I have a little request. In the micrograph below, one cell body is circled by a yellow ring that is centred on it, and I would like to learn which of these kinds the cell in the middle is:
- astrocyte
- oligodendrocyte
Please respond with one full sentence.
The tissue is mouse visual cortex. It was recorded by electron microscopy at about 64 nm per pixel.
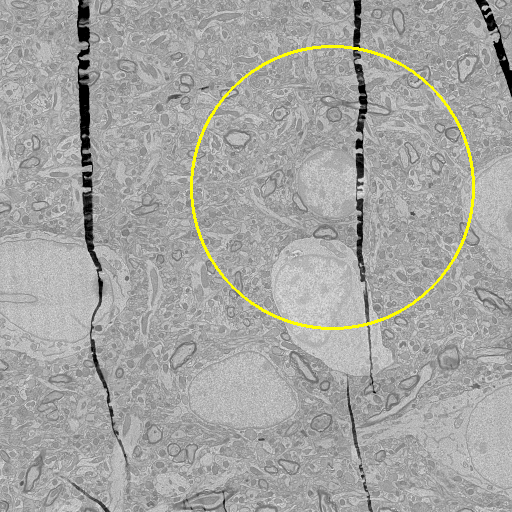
The cell sitting in the middle of the yellow ring in the micrograph is an oligodendrocyte.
